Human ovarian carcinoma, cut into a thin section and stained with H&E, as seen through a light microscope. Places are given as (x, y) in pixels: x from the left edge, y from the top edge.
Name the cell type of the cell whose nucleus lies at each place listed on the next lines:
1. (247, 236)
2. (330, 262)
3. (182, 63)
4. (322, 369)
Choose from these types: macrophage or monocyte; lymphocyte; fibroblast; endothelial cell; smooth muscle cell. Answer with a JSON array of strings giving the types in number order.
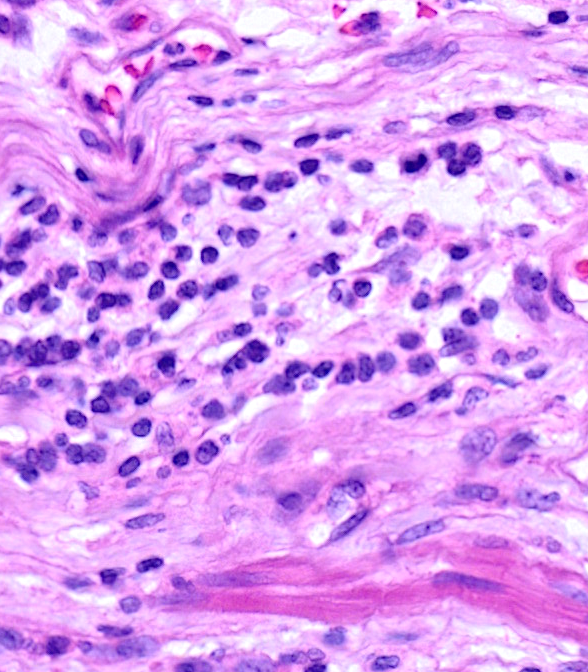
["lymphocyte", "lymphocyte", "endothelial cell", "lymphocyte"]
